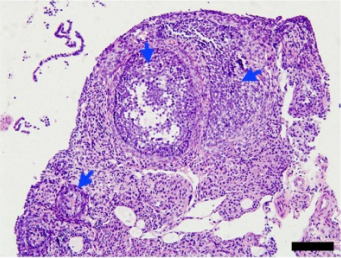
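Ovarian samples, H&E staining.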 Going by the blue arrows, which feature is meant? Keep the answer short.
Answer: Atretic follicle.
